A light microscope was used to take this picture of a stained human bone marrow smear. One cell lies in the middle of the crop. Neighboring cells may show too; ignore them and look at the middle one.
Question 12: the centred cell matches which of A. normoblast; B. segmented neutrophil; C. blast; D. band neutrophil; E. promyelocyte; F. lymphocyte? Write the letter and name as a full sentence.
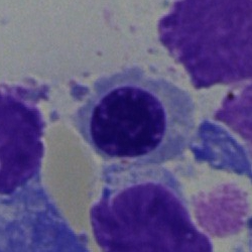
For this crop, option A is right, the centered cell being a normoblast.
